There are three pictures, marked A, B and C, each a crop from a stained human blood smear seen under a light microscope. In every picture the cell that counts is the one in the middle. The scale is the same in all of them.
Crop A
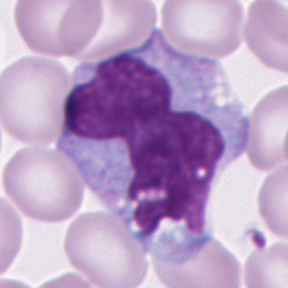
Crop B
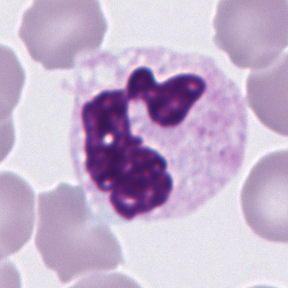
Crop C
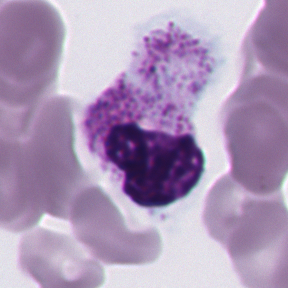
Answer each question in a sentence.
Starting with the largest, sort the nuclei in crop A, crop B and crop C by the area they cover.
From the largest down, the order is A, B, C.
